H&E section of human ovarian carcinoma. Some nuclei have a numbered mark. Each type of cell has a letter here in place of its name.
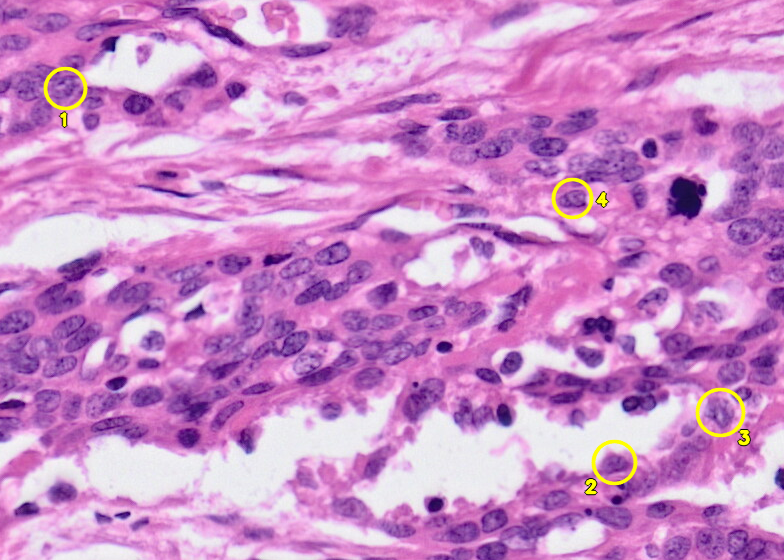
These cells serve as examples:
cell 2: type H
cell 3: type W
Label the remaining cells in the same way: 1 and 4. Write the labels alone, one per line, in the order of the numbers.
type H
type W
